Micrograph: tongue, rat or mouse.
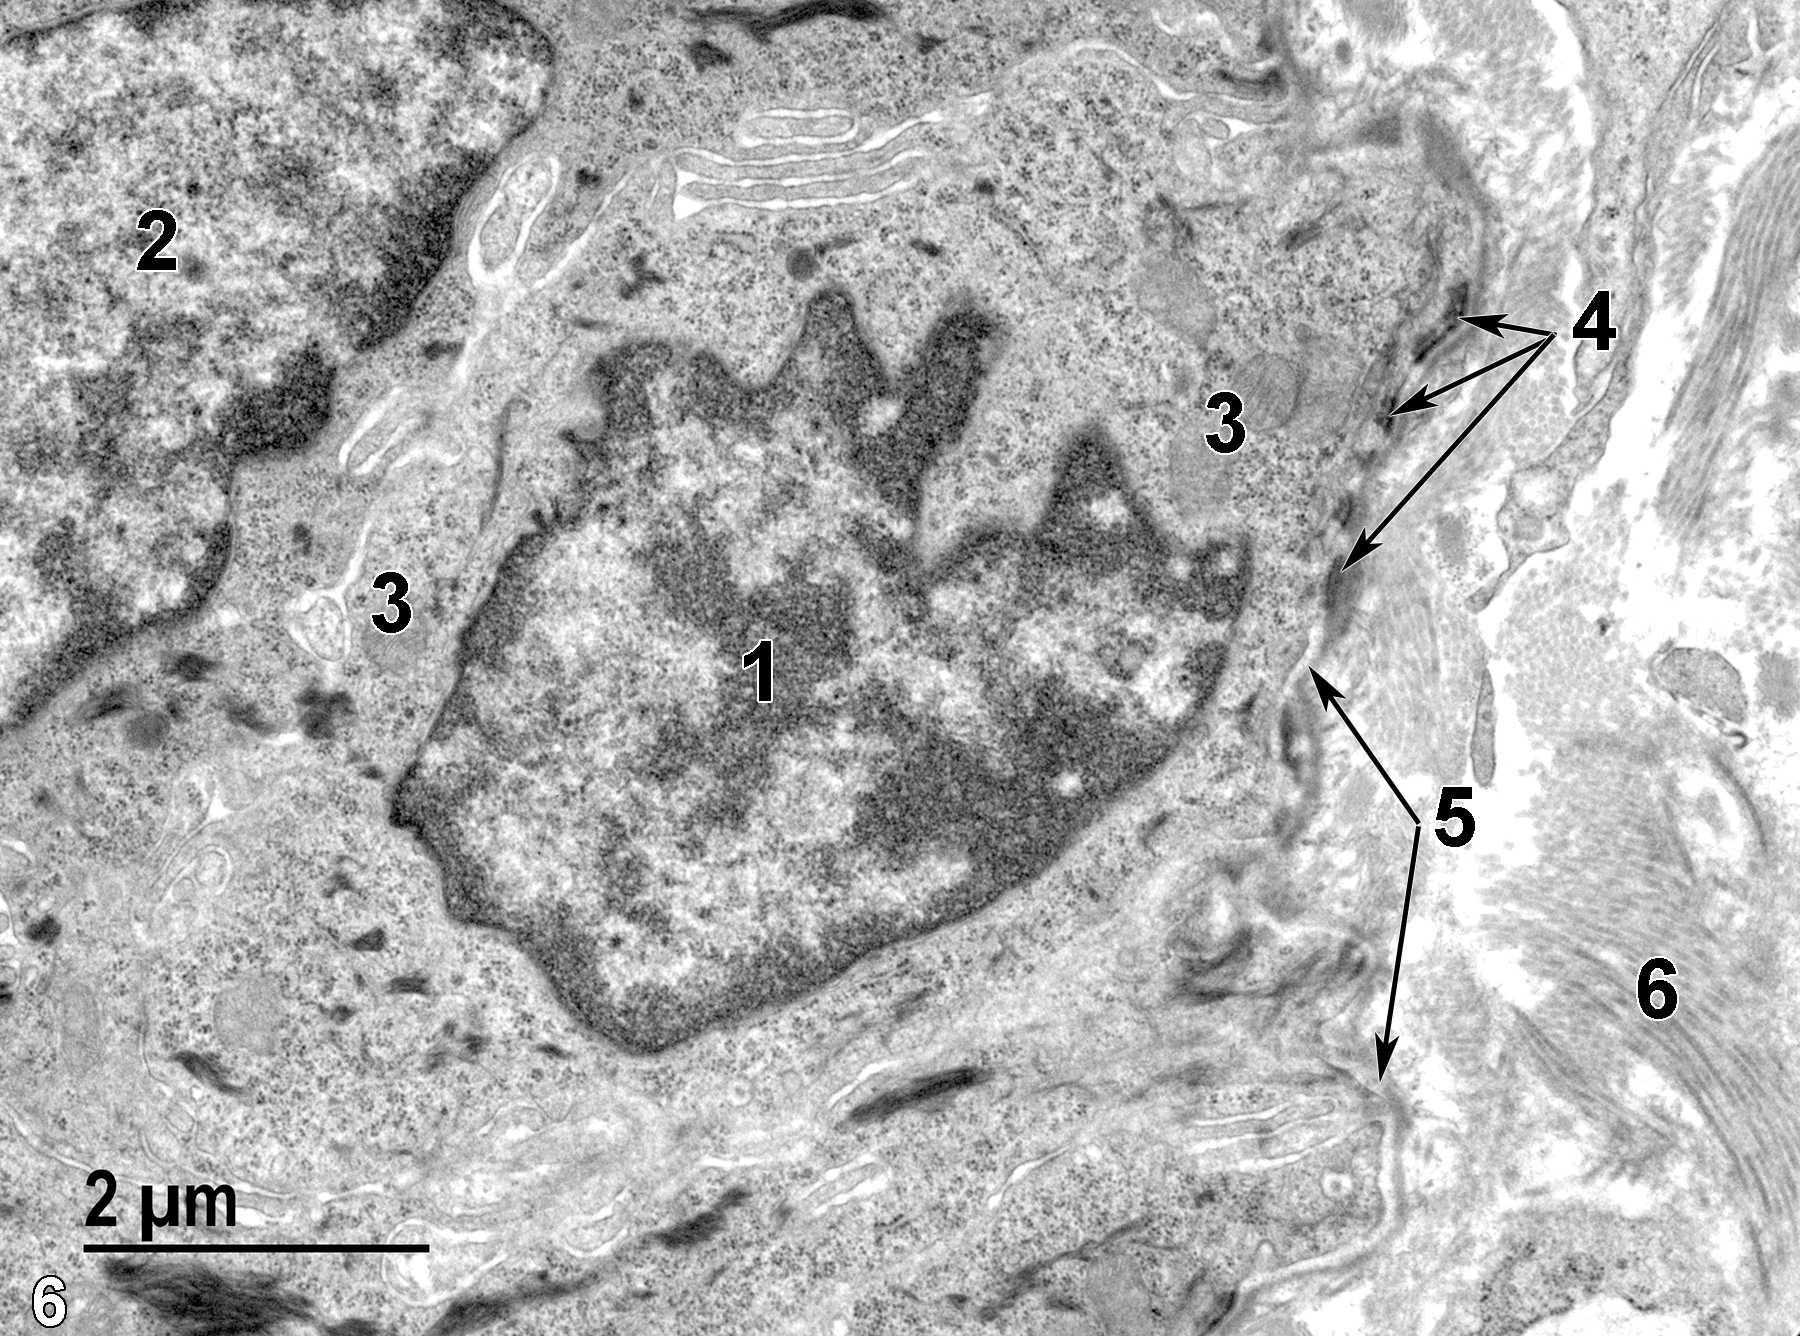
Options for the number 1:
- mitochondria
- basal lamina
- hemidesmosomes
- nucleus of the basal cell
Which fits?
nucleus of the basal cell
